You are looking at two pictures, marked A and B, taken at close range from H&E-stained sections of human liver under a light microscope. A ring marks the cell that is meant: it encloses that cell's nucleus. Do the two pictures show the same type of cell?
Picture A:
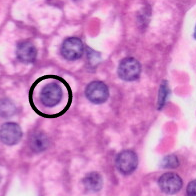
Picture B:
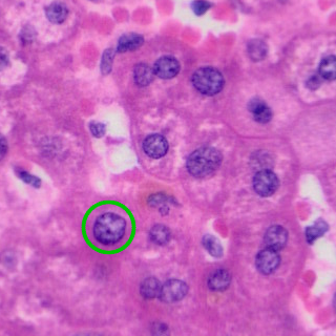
yes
